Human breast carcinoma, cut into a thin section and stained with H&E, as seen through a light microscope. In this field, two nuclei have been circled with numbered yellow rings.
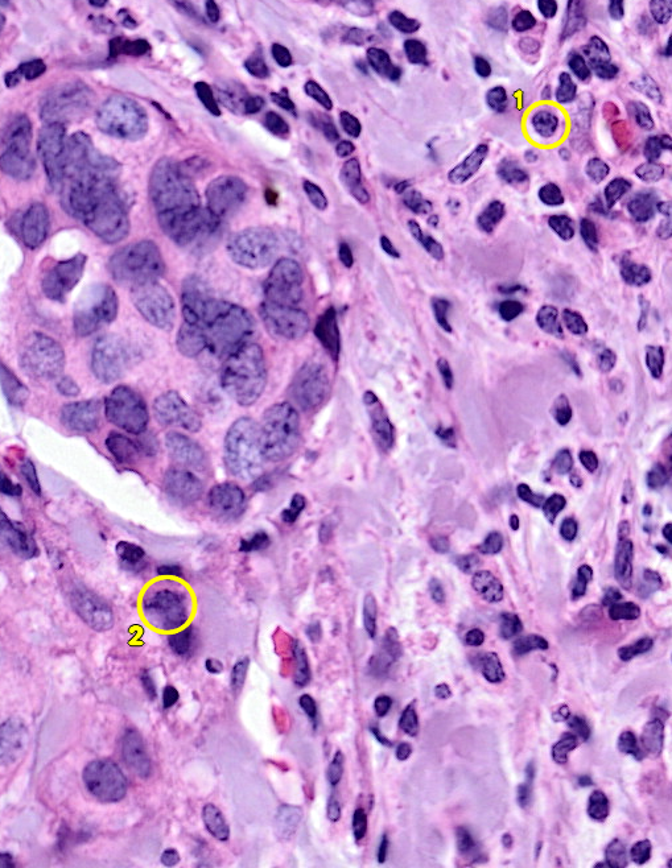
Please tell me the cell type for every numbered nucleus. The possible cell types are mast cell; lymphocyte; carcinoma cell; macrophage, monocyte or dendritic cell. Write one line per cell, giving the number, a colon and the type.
1: lymphocyte
2: carcinoma cell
